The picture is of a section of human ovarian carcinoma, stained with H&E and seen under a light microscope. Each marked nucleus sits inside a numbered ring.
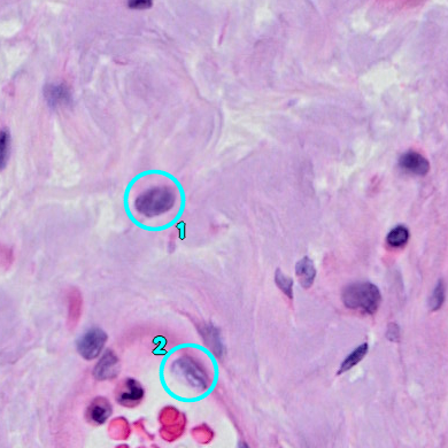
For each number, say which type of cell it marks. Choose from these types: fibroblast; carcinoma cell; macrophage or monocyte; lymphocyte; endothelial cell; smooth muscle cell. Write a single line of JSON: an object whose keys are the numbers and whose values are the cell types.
{"1": "fibroblast", "2": "endothelial cell"}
